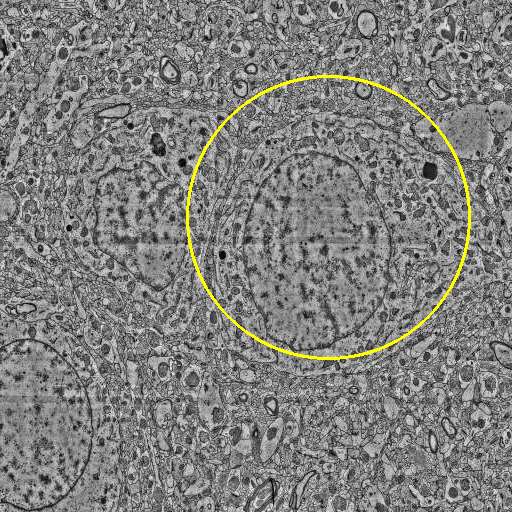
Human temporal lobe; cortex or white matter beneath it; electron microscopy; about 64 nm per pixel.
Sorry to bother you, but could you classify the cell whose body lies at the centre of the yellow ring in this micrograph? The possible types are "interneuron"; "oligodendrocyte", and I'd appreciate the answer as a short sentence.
The ringed cell body is that of an interneuron.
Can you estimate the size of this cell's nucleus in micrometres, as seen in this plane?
In this plane the nucleus spans approximately 13 by 10 micrometers.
